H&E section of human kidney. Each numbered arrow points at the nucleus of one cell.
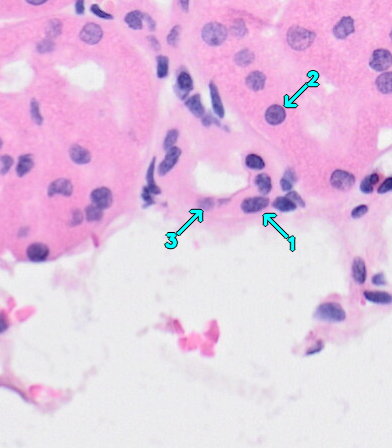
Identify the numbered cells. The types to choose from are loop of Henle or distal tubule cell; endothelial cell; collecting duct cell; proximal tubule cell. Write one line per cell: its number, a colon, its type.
1: collecting duct cell
2: proximal tubule cell
3: collecting duct cell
